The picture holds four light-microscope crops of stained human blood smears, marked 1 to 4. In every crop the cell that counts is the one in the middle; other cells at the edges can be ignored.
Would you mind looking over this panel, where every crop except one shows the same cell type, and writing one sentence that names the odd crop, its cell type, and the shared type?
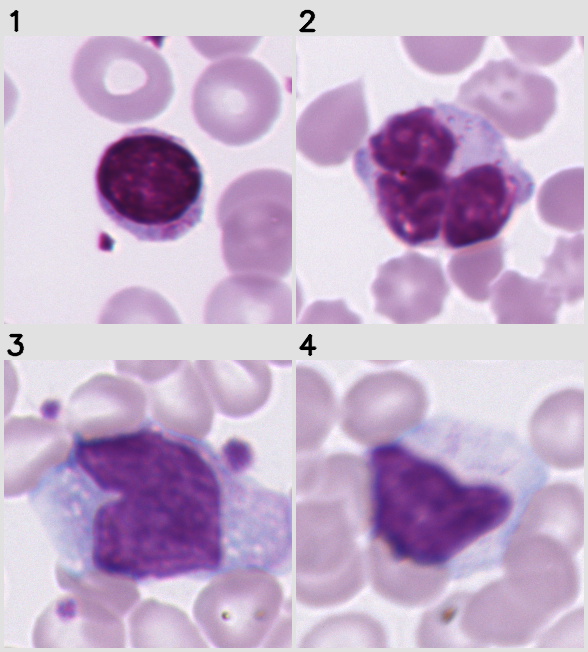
Differing from the rest, crop 3 shows a monocyte; the others all show large granular lymphocytes.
